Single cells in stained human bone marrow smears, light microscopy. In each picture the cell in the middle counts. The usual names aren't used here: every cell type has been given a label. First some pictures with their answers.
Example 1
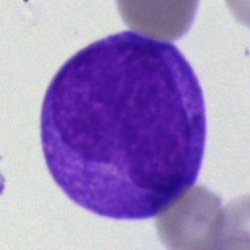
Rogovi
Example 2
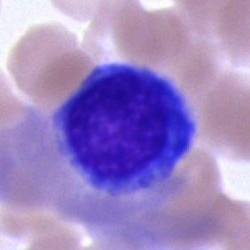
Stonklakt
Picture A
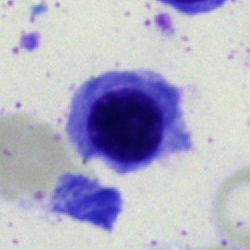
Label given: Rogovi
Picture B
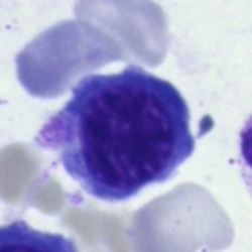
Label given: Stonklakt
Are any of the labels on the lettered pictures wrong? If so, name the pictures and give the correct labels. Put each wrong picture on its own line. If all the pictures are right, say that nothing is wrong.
A is labelled Rogovi; correct label: Stonklakt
